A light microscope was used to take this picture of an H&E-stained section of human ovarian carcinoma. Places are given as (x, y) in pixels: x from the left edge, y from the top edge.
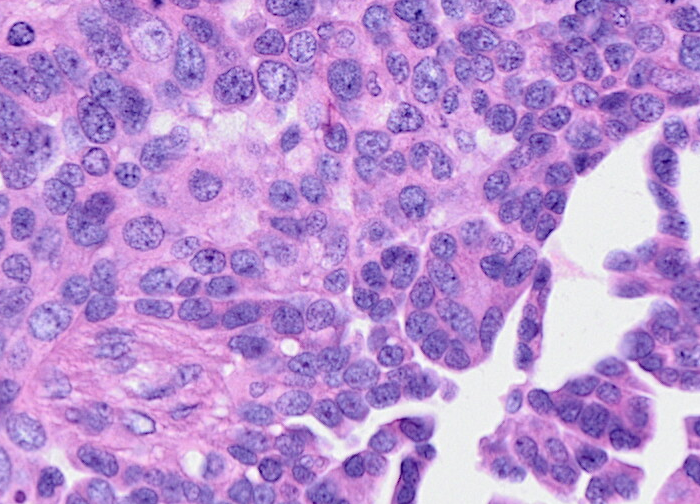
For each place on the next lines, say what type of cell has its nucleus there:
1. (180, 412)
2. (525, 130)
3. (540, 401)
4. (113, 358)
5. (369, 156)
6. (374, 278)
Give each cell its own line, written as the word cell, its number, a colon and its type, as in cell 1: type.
cell 1: fibroblast
cell 2: carcinoma cell
cell 3: carcinoma cell
cell 4: fibroblast
cell 5: carcinoma cell
cell 6: carcinoma cell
